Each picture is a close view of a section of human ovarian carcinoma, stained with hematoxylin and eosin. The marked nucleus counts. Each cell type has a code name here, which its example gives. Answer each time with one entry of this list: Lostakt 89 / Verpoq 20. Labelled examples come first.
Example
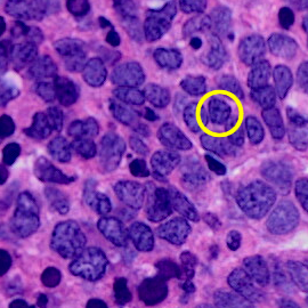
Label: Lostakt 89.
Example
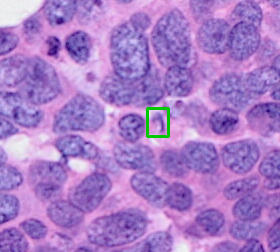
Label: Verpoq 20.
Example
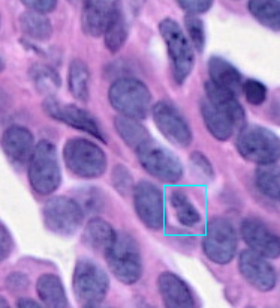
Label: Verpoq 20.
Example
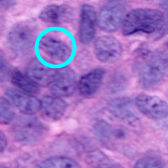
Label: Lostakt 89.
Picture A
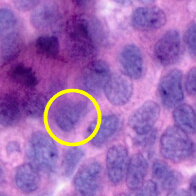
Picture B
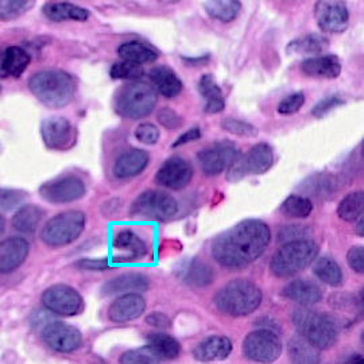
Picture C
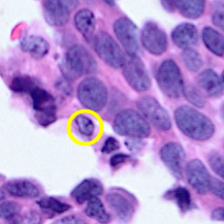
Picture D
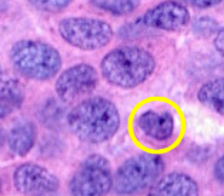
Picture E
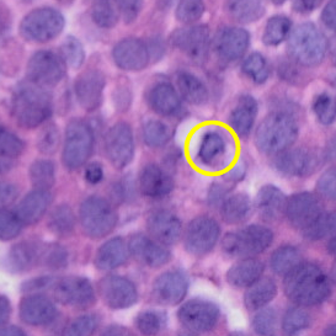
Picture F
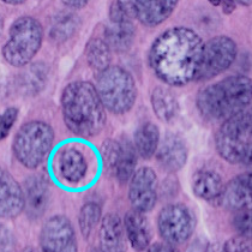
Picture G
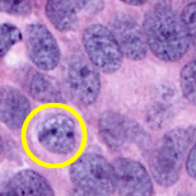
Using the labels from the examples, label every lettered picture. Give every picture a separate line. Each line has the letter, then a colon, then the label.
A: Lostakt 89.
B: Verpoq 20.
C: Verpoq 20.
D: Verpoq 20.
E: Verpoq 20.
F: Verpoq 20.
G: Verpoq 20.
